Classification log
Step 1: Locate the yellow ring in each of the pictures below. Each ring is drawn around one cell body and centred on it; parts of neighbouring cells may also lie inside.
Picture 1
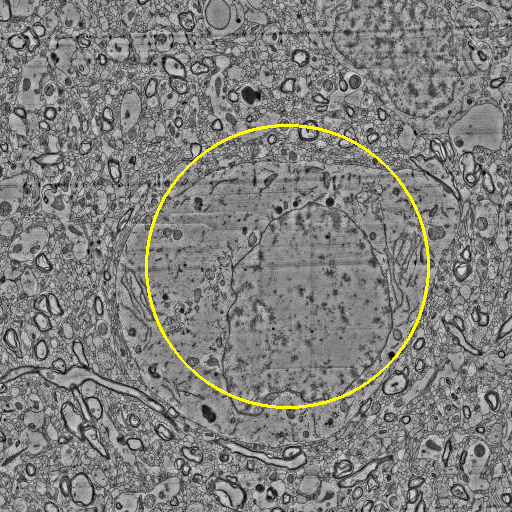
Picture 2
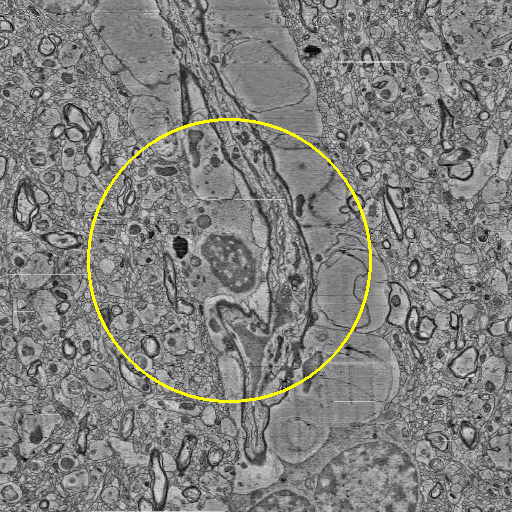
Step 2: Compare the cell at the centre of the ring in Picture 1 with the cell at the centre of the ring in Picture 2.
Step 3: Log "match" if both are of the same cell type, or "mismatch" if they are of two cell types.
mismatch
